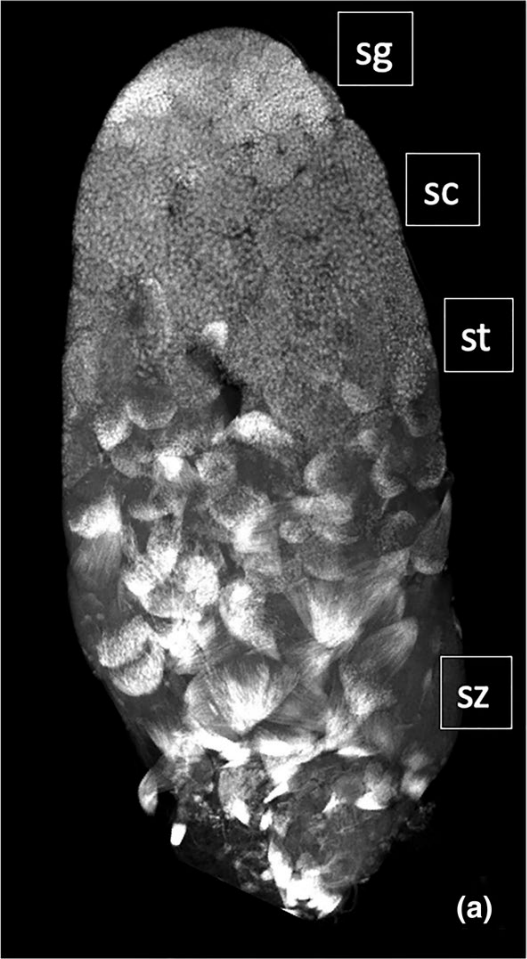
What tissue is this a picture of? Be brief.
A: Testis tubule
